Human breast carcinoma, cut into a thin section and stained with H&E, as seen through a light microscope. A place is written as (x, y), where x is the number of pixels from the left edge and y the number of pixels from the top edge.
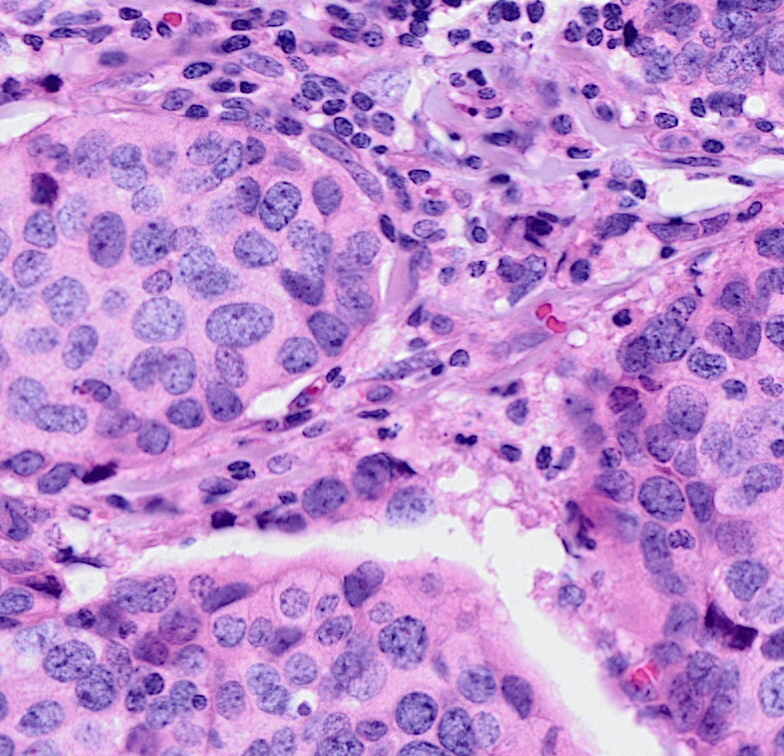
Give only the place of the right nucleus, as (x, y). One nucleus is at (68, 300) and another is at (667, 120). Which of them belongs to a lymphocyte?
(667, 120)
